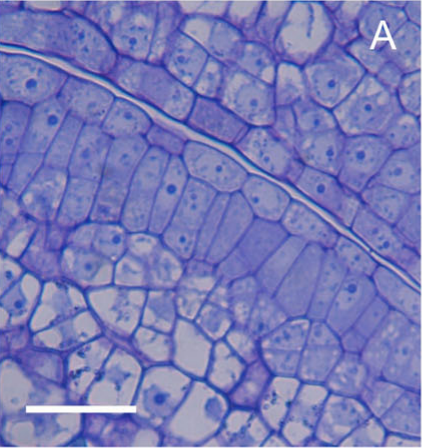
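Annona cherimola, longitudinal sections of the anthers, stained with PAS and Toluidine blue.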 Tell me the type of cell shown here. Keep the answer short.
Arquesporial cells.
